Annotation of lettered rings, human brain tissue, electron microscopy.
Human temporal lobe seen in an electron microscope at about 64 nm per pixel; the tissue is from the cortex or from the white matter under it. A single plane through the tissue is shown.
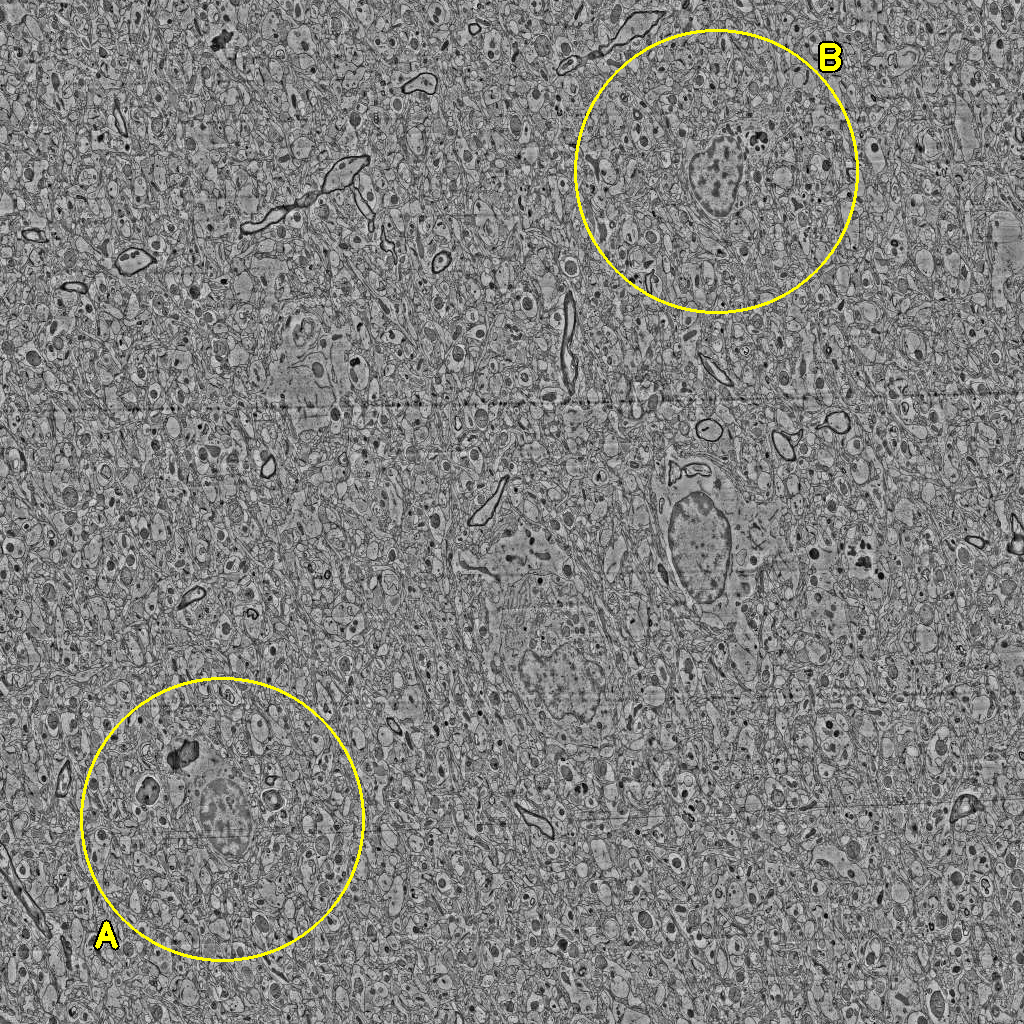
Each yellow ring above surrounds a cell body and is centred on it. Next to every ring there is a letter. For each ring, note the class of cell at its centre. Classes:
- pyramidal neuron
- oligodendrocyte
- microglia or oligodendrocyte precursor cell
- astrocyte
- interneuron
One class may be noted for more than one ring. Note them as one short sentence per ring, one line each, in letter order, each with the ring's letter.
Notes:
The class noted at ring A is an oligodendrocyte.
The class noted at ring B is a microglial cell or oligodendrocyte precursor cell.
